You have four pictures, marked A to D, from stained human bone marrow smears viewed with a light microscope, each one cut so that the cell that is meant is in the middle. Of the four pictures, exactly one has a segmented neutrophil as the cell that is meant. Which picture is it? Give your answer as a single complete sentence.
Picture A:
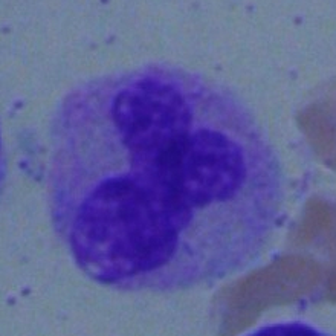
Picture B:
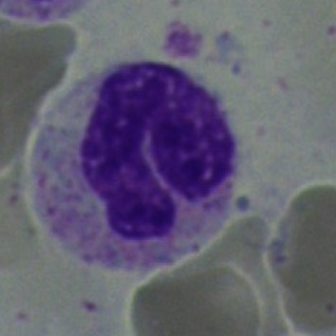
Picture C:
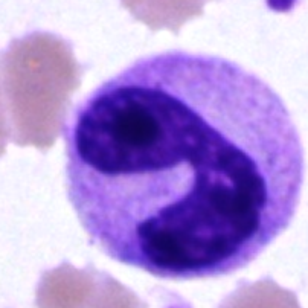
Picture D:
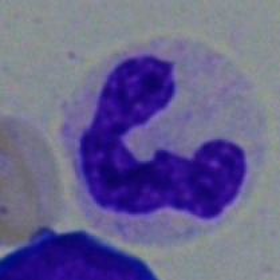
The cell in picture D is the segmented neutrophil.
